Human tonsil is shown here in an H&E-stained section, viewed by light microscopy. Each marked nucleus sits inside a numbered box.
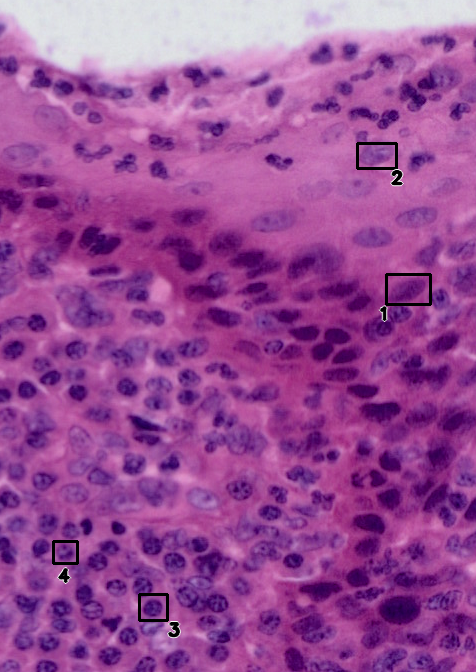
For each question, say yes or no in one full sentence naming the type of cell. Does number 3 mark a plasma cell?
Yes, for number 3, the cell is a plasma cell.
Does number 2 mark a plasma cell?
No, the cell bearing number 2 is not a plasma cell but a squamous epithelial cell.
